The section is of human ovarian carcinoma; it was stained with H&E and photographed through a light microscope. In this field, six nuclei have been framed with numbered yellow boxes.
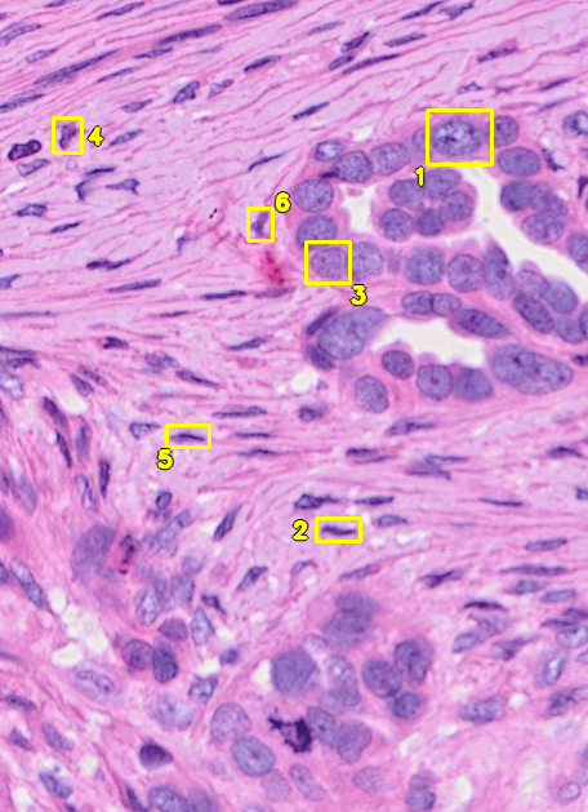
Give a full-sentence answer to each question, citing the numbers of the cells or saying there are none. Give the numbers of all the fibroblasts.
The cells that have numbers 2, 4, 5 and 6 are fibroblasts.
